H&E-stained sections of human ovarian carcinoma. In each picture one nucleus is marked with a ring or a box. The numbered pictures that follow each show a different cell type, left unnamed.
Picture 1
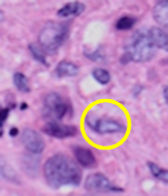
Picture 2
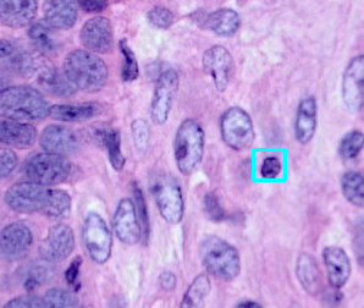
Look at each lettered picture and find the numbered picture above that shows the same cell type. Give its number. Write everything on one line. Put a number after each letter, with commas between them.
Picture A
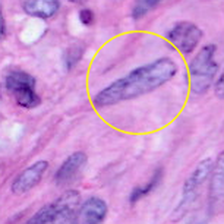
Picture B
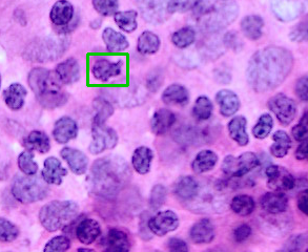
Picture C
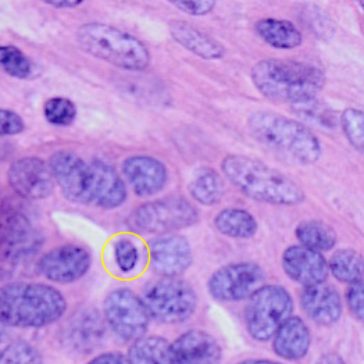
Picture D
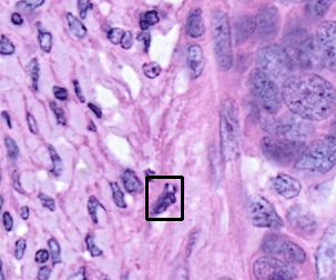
A 1, B 2, C 2, D 2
